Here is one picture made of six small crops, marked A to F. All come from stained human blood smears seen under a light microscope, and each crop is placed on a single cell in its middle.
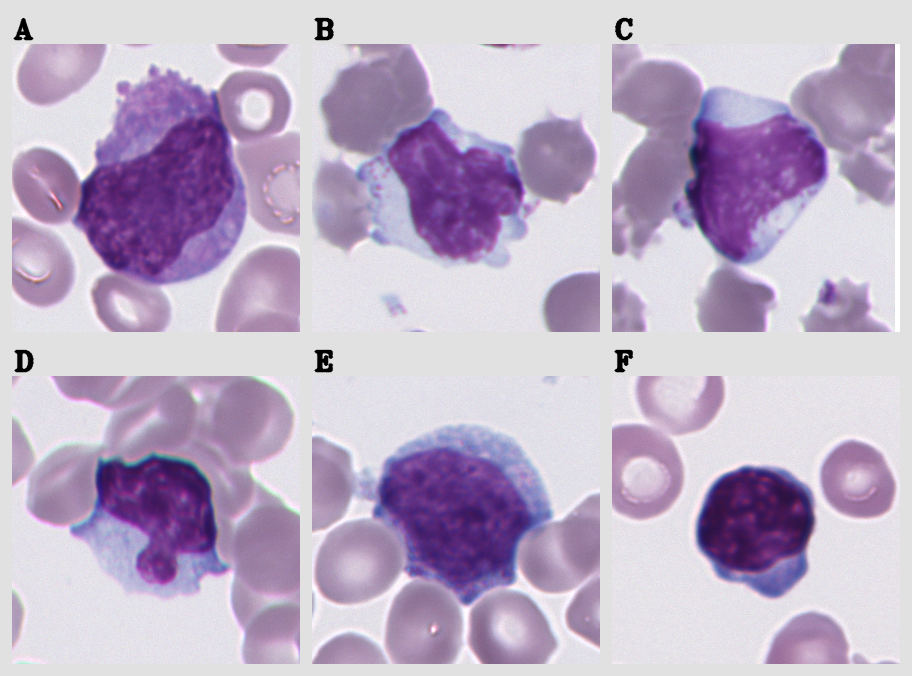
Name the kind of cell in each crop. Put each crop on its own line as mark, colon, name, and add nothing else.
A: atypical promyelocyte
B: large granular lymphocyte
C: large granular lymphocyte
D: typical lymphocyte
E: promyelocyte
F: typical lymphocyte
